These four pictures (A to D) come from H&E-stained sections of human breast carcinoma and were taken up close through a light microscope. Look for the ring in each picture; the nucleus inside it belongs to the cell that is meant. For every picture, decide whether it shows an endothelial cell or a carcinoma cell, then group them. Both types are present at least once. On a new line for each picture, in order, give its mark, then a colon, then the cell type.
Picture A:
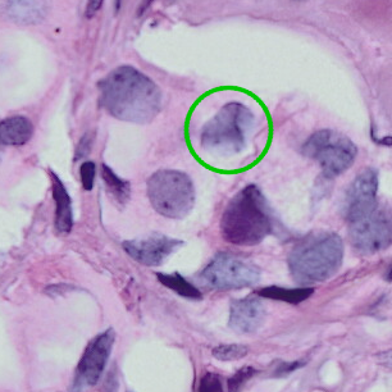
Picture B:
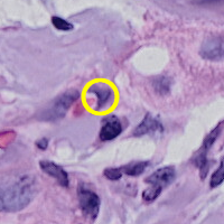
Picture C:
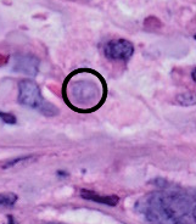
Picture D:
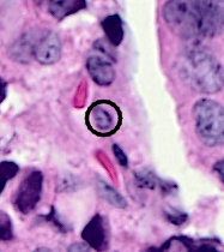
A: carcinoma cell
B: endothelial cell
C: endothelial cell
D: endothelial cell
